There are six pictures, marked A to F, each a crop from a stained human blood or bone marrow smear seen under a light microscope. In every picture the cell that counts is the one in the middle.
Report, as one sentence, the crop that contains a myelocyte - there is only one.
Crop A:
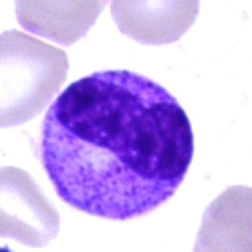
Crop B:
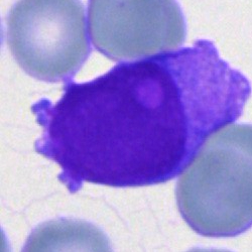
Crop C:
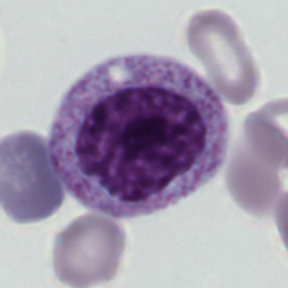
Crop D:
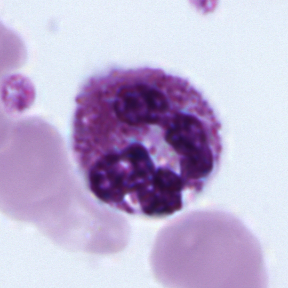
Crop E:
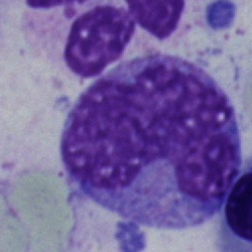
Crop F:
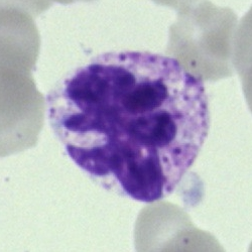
So the crop with a myelocyte at its center is crop C.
